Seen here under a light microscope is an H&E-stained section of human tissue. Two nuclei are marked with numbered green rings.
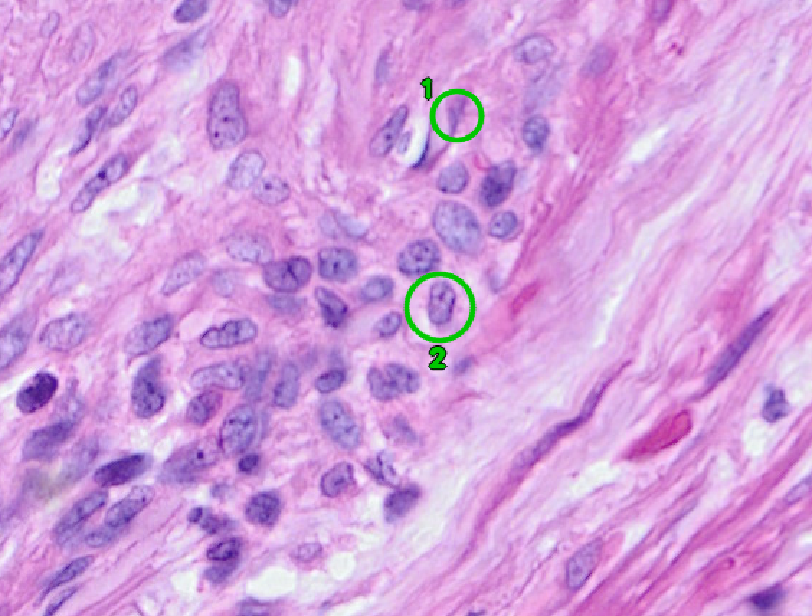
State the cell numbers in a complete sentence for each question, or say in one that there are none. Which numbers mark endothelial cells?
In the set of numbered cells, endothelial cells are not found.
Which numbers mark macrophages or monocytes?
Unlike the other numbered cells, cell 2 is a macrophage or monocyte.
